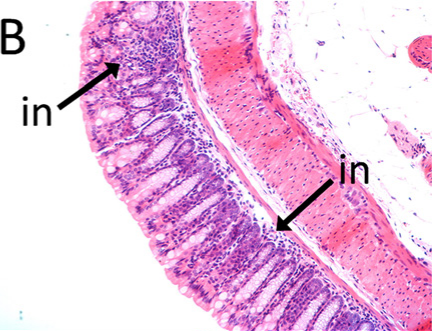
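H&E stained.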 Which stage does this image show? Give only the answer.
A: intact epithelial layer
